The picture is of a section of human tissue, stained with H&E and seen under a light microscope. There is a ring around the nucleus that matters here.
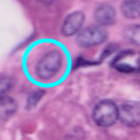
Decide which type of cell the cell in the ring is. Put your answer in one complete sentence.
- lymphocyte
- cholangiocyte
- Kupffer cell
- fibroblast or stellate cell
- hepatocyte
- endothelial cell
Histopathologically, the cell in the ring is a cholangiocyte.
